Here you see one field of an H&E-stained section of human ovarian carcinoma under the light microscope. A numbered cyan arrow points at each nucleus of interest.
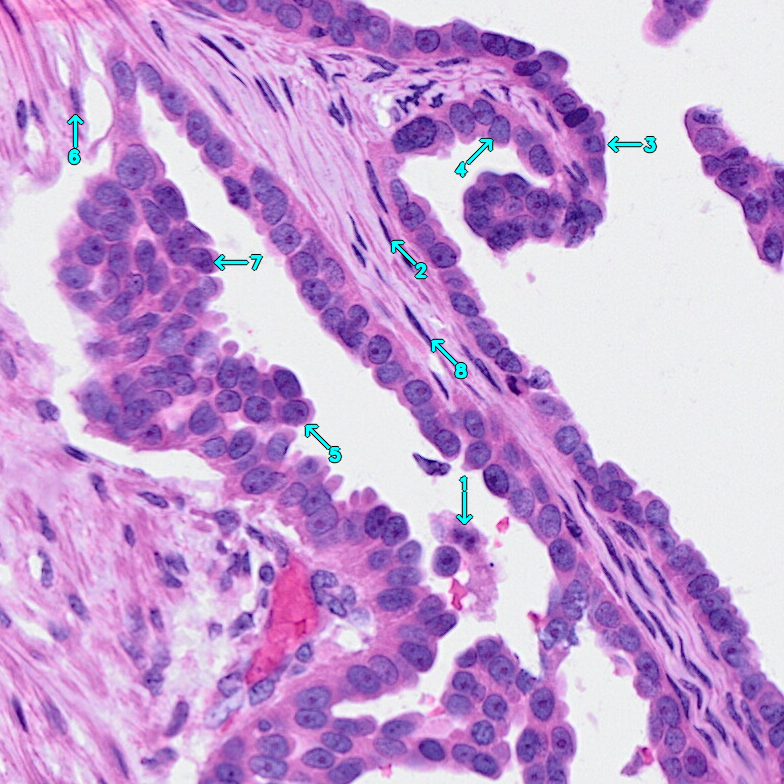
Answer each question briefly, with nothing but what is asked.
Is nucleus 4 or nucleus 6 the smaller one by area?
6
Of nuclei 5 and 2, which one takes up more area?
5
